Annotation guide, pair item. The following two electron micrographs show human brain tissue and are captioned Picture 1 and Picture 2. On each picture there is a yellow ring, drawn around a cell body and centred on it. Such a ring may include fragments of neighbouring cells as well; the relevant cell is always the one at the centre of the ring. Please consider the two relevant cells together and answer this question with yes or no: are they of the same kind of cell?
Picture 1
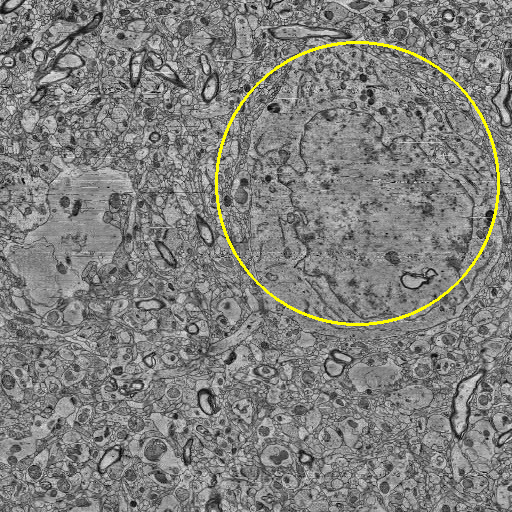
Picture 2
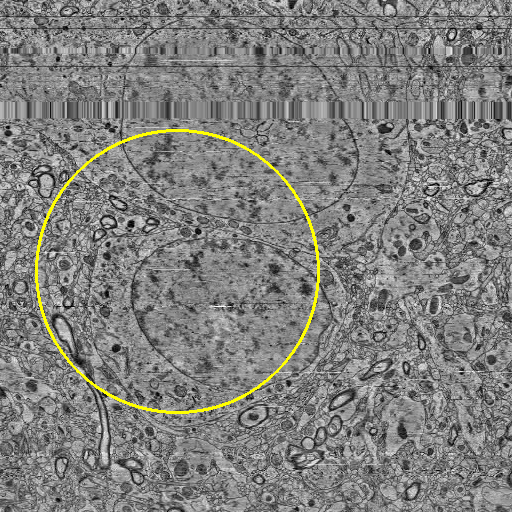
no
